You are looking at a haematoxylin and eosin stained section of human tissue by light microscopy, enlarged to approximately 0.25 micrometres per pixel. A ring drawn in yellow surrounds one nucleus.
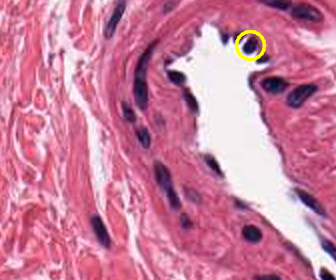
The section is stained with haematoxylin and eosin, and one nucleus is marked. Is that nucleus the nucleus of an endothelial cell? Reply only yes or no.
yes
